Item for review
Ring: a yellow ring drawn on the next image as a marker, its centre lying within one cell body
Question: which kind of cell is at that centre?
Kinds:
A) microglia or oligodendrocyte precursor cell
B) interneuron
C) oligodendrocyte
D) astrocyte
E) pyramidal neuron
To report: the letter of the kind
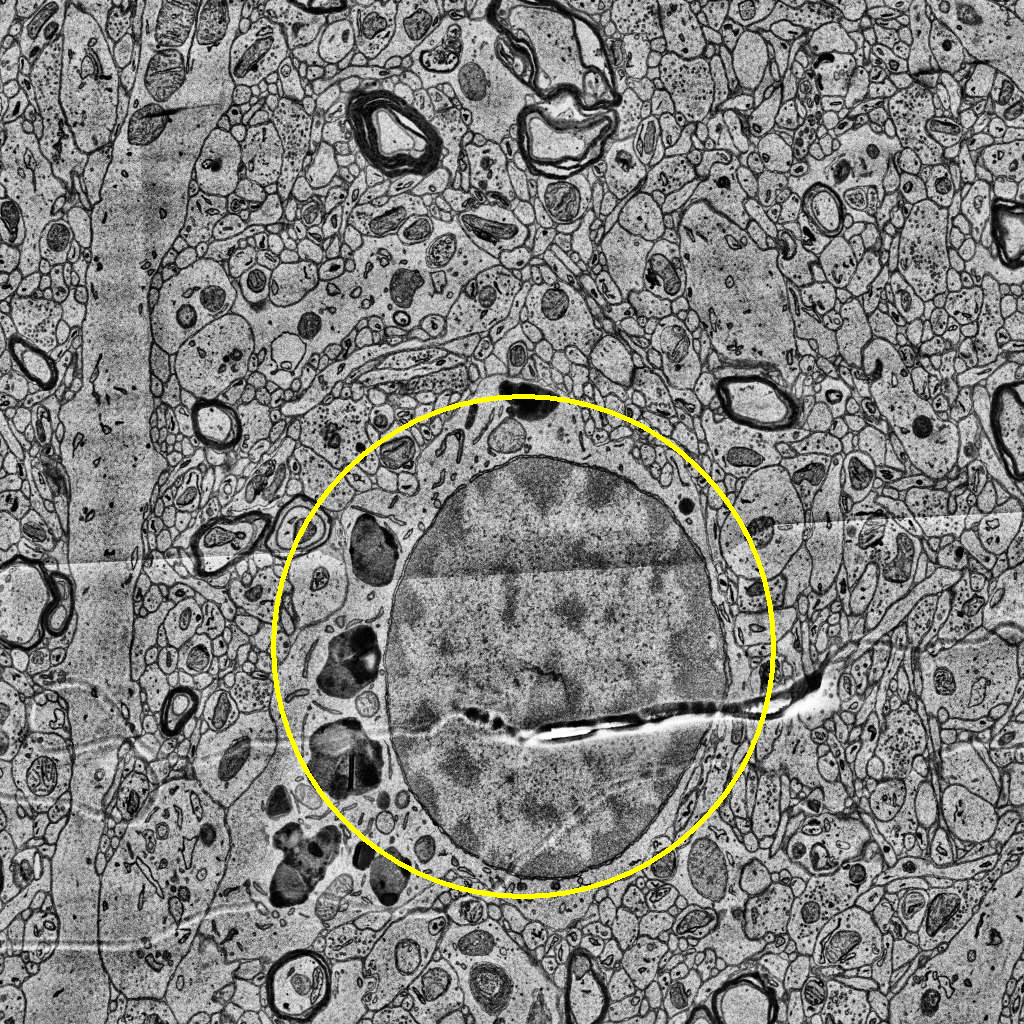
A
